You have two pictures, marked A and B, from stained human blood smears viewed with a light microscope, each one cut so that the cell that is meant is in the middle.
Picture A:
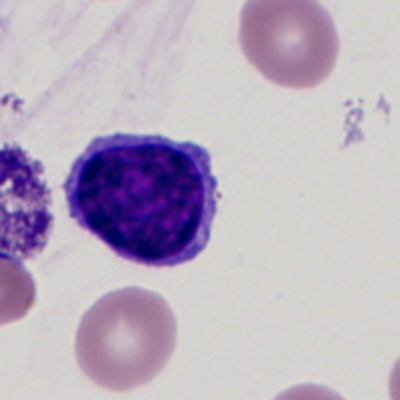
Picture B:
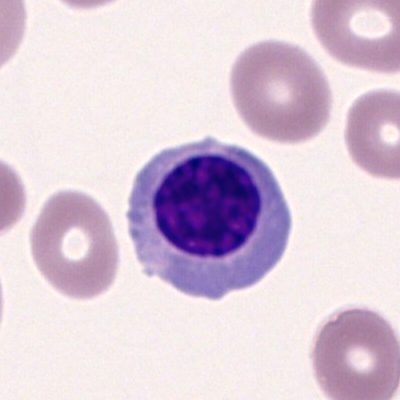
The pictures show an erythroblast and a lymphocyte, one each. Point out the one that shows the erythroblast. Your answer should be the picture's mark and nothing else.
B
